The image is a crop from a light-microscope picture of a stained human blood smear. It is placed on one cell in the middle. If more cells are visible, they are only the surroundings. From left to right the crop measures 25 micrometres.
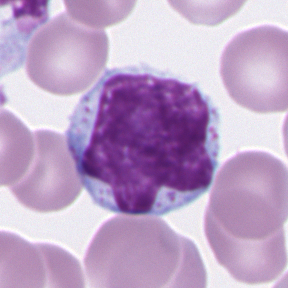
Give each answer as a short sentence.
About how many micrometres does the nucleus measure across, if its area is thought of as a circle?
The nucleus is about 11 micrometres across.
